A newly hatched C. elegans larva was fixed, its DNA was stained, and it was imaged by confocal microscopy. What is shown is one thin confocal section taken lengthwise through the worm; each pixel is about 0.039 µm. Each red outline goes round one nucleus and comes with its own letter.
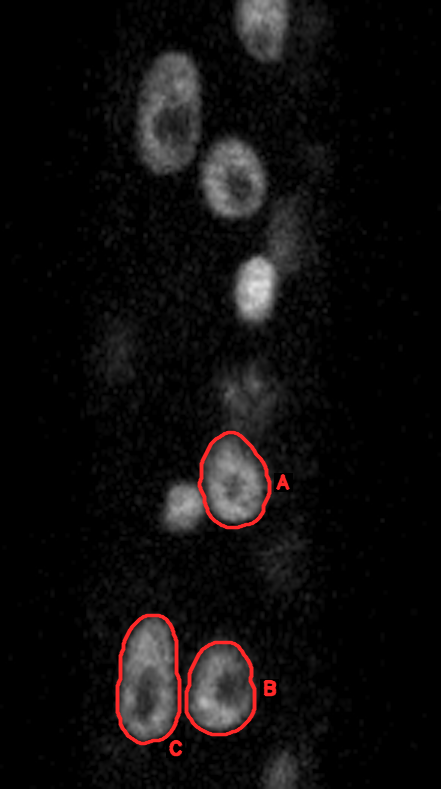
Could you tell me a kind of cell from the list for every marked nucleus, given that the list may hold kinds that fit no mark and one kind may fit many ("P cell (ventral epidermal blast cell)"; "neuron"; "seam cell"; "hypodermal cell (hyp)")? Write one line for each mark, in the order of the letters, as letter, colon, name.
A: P cell (ventral epidermal blast cell)
B: seam cell
C: hypodermal cell (hyp)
